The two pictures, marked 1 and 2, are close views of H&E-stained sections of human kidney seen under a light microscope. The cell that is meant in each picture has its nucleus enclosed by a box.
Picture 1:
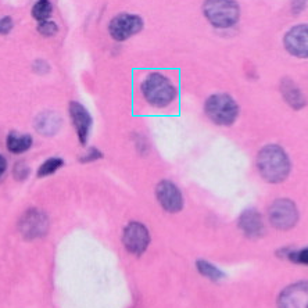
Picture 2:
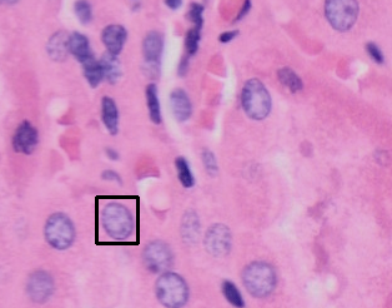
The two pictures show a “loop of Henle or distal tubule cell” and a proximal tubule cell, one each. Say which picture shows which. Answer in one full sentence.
The cell in picture 1 is a “loop of Henle or distal tubule cell”, and the one in picture 2 is a proximal tubule cell.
